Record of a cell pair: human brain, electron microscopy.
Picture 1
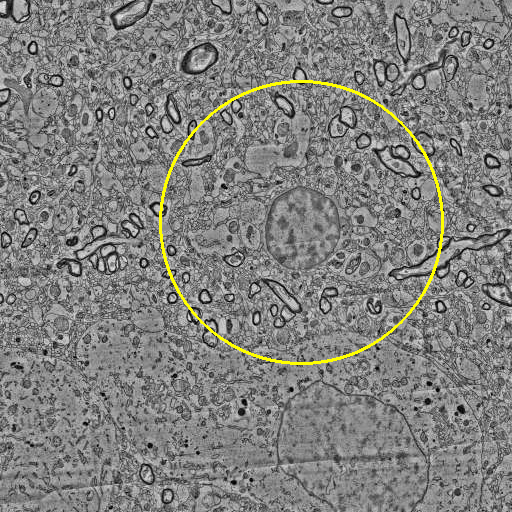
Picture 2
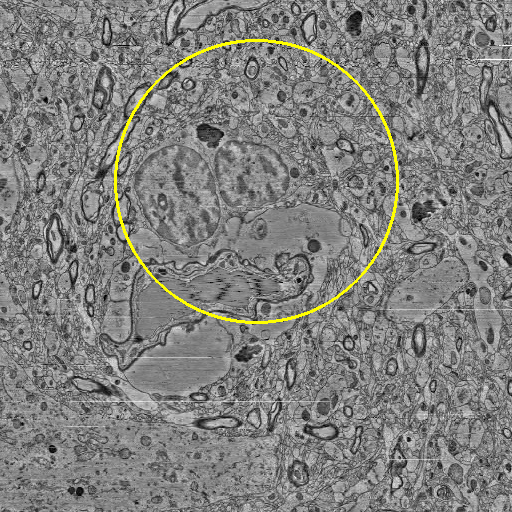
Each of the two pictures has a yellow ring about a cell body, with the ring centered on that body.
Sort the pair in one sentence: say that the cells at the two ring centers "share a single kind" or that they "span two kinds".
The cells centered in the rings of Pictures 1 and 2 share a single kind.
